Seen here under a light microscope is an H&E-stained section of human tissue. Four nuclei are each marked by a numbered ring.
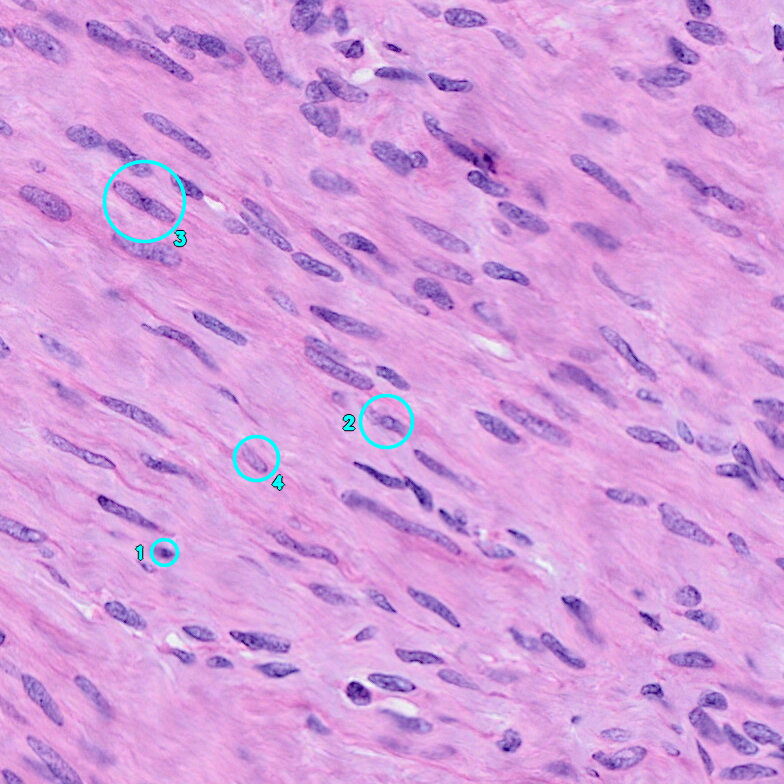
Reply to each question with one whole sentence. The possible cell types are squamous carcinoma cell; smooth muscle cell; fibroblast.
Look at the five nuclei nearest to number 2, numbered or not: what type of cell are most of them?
Fibroblasts account for more than half of the five nuclei nearest to number 2.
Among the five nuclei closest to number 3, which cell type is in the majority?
Of the five nuclei nearest to number 3, most belong to fibroblasts.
